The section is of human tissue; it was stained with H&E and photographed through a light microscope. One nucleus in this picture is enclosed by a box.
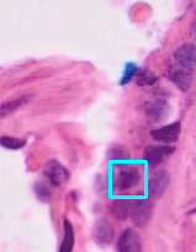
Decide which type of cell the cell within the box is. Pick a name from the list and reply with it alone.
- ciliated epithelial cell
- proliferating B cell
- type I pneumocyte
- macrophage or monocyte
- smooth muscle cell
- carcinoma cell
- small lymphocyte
ciliated epithelial cell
